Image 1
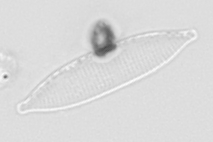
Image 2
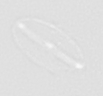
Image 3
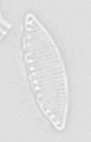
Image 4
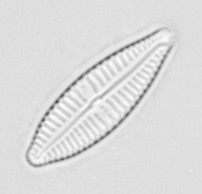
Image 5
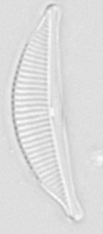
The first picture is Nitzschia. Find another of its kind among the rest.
Picture 3.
